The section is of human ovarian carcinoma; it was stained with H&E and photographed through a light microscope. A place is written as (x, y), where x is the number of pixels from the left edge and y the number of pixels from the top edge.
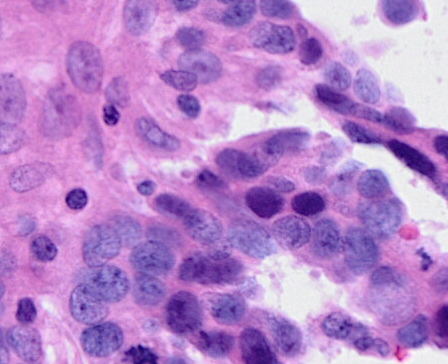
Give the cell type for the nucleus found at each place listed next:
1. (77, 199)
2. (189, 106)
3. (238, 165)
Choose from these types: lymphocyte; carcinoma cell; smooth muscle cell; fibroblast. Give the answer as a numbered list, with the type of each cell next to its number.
1. lymphocyte
2. lymphocyte
3. carcinoma cell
